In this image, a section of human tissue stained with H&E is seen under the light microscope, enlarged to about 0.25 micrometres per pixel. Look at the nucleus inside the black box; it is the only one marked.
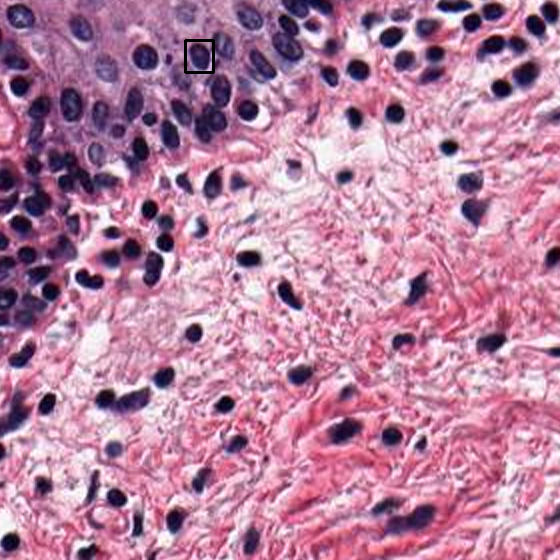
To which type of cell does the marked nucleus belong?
squamous epithelial cell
